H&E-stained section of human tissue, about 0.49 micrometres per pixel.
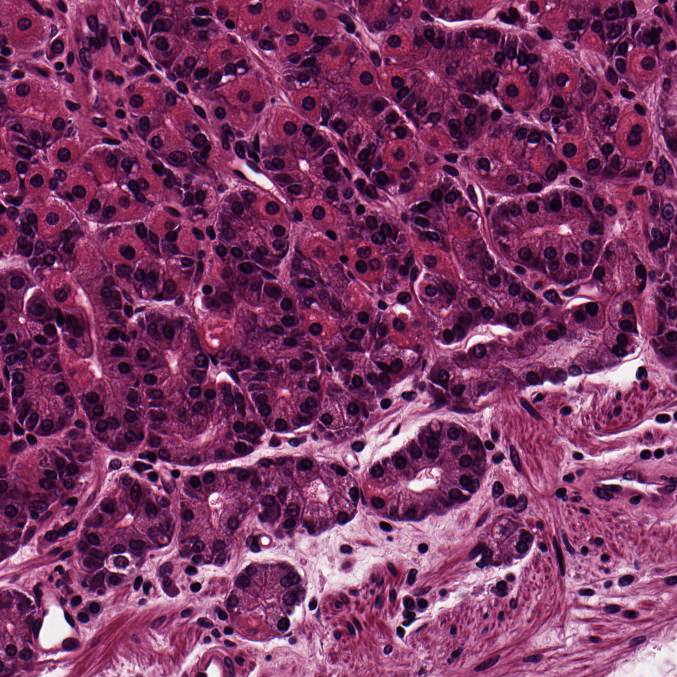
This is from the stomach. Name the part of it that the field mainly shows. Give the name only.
fundic glands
